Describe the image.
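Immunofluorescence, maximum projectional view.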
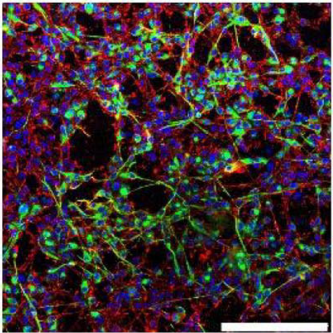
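Many cell bodies carry round blue nuclei and green cytoplasm, while long red processes run between them and cross one another. Scattered dark holes show where the meshwork is open.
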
